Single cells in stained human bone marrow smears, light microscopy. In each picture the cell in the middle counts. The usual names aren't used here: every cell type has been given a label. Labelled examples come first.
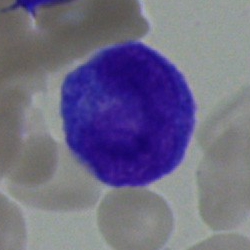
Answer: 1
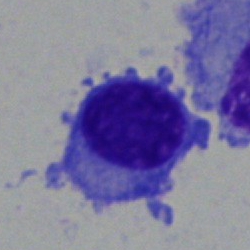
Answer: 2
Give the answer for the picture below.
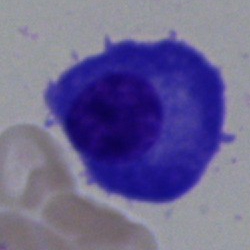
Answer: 2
